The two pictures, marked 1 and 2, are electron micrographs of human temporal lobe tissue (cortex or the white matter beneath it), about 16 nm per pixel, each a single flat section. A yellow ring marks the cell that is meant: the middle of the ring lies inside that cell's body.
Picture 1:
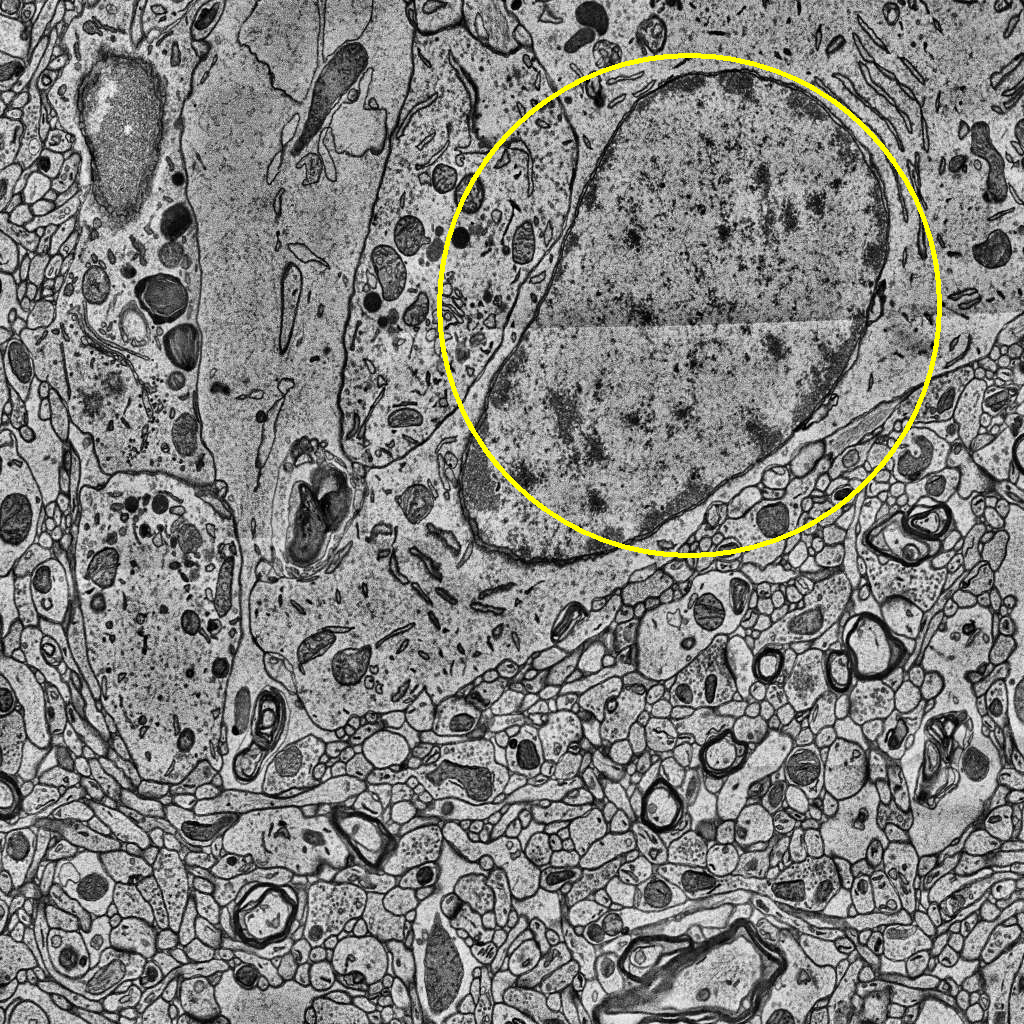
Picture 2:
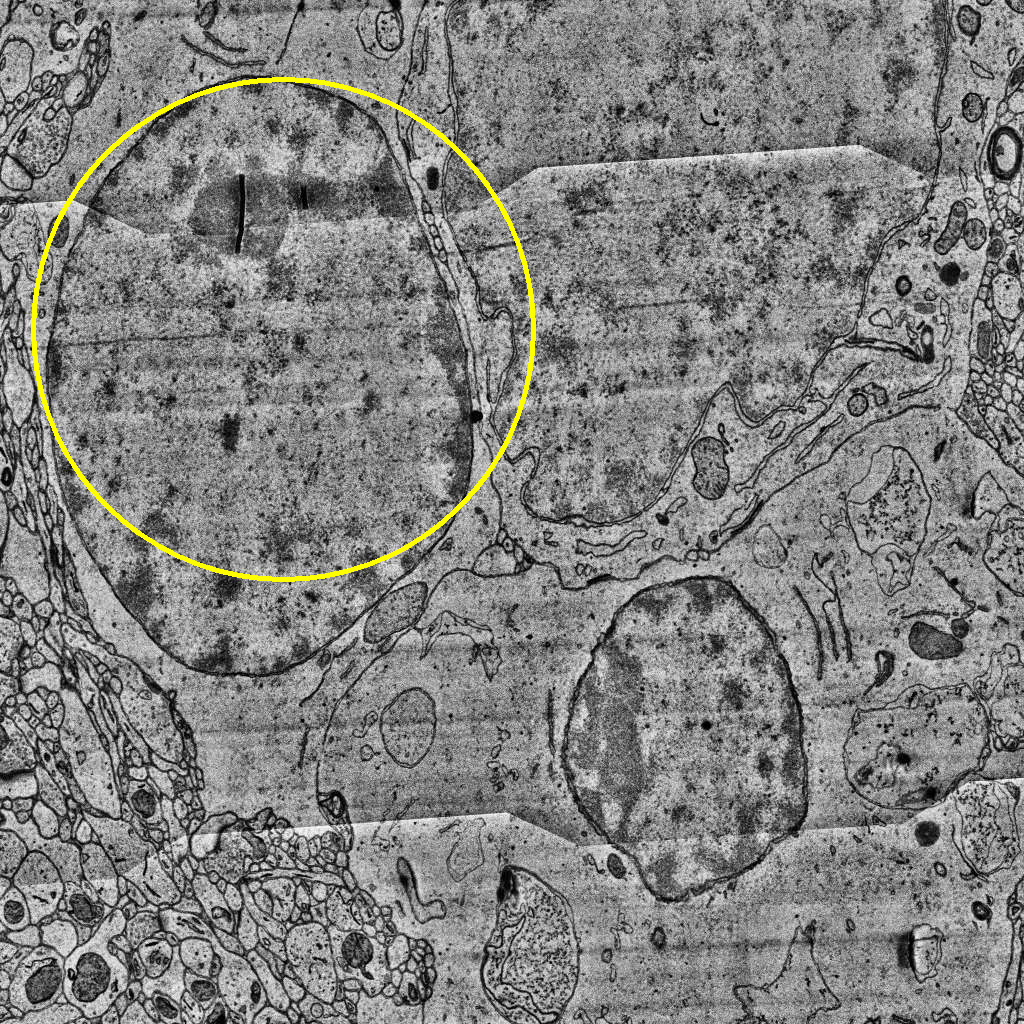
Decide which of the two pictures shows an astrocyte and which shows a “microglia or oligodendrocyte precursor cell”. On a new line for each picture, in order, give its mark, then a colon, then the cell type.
1: microglia or oligodendrocyte precursor cell
2: astrocyte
